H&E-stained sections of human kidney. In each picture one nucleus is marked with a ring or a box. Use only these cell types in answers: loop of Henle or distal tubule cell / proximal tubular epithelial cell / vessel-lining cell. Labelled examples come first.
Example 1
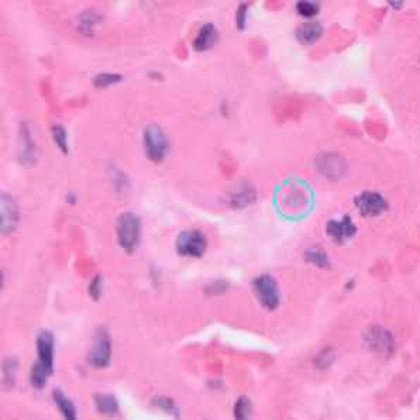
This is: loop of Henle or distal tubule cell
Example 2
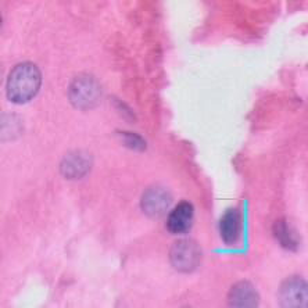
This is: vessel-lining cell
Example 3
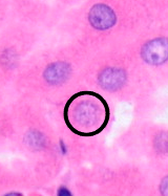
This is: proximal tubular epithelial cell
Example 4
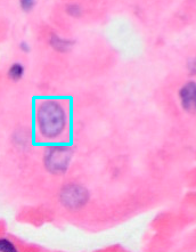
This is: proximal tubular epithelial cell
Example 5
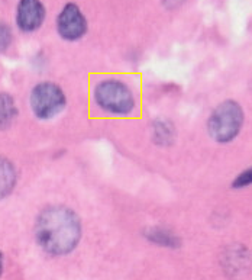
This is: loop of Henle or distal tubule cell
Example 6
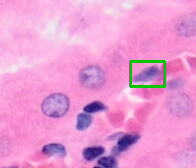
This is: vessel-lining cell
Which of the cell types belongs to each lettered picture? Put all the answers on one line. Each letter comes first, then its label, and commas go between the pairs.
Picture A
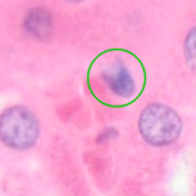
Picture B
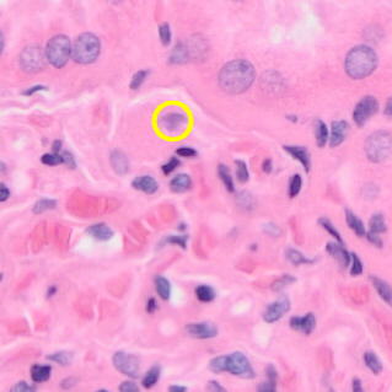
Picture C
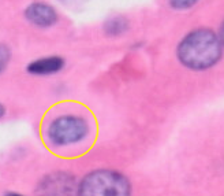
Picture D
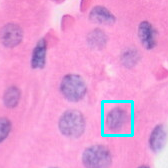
A vessel-lining cell, B vessel-lining cell, C loop of Henle or distal tubule cell, D loop of Henle or distal tubule cell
